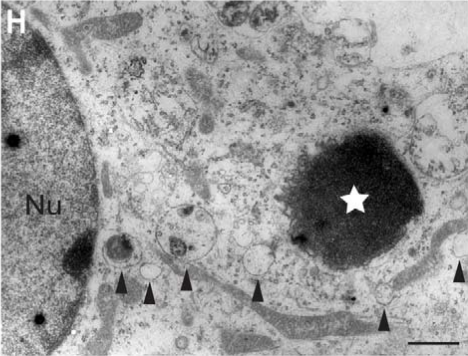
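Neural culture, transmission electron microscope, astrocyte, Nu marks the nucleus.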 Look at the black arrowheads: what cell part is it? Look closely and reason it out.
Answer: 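The arrowheads point to round membrane-bound vesicles in the cytoplasm. Some vesicles look empty while others hold dark material.
Hence: vacuoles.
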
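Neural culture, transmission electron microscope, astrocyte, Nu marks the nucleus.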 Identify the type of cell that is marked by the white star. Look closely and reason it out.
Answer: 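The star lies on a compact, very electron-dense body inside the cytoplasm. The dense body is surrounded by the cytoplasm of a larger cell with a nucleus at the left.
Answer: dead cell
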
